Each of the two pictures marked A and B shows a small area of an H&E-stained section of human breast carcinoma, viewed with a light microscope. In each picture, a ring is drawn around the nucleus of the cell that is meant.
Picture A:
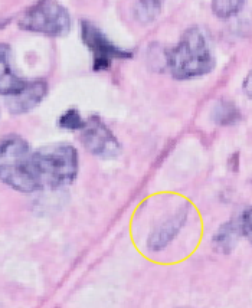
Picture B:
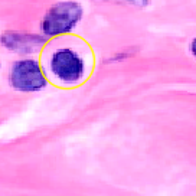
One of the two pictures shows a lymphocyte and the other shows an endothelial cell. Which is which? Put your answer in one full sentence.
It is picture A that shows an endothelial cell, and picture B that shows a lymphocyte.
